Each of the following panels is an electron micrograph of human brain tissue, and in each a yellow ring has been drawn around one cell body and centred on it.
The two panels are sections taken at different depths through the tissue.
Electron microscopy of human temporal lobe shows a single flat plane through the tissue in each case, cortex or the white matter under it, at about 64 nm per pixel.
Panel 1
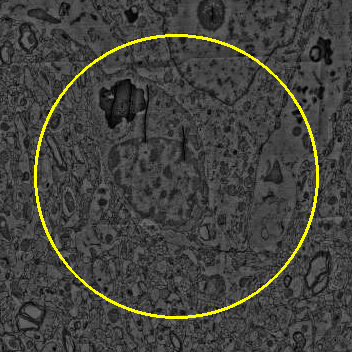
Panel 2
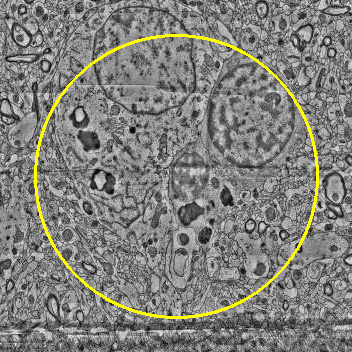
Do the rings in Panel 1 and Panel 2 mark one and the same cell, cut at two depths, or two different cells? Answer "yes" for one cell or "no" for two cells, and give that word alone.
no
